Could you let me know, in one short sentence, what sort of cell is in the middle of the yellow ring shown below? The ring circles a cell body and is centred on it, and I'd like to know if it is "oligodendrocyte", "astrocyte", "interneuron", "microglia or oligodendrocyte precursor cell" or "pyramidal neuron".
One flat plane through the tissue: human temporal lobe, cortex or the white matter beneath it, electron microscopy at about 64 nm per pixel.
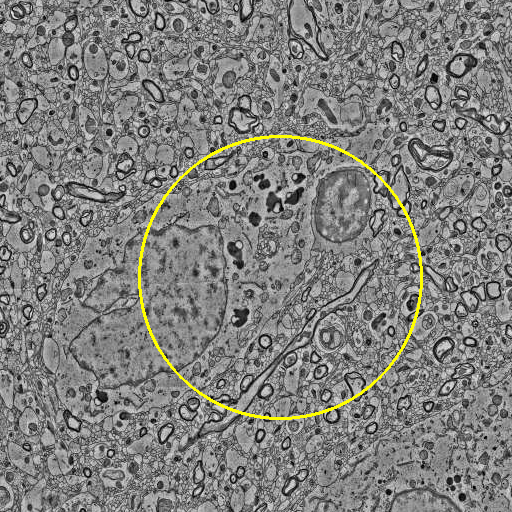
The ring circles the cell body of an oligodendrocyte.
